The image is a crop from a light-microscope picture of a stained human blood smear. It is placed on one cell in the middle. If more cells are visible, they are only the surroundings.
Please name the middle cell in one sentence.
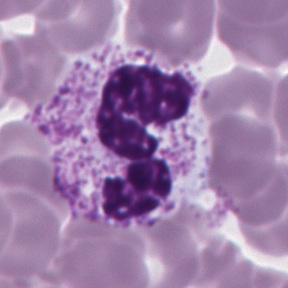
The centered cell in this crop is a neutrophil.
